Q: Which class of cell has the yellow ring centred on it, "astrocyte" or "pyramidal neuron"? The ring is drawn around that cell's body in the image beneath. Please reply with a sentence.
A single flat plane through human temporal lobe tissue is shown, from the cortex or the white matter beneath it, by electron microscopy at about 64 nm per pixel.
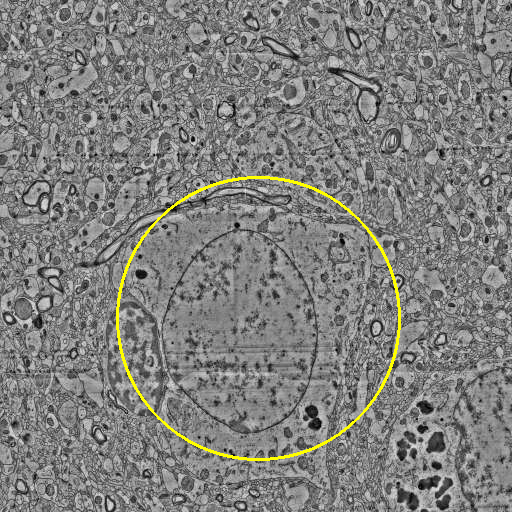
It is centred on a pyramidal neuron.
